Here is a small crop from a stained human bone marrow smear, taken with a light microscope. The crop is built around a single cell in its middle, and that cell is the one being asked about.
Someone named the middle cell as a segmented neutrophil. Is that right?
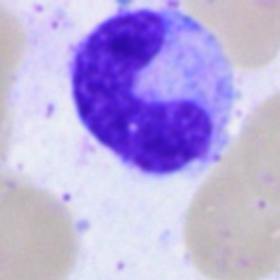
no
